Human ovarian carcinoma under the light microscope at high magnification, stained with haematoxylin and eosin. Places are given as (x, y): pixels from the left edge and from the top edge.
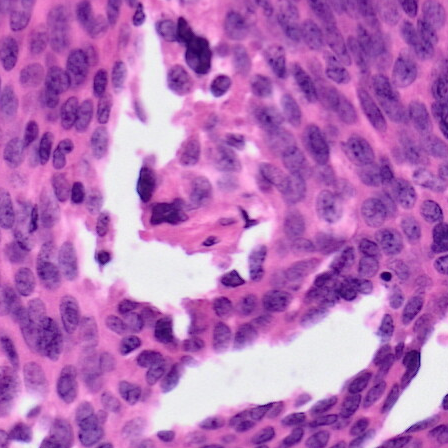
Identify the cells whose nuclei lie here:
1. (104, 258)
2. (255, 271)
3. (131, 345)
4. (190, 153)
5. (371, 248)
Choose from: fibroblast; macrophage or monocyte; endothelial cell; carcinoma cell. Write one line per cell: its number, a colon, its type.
1: carcinoma cell
2: macrophage or monocyte
3: macrophage or monocyte
4: carcinoma cell
5: carcinoma cell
